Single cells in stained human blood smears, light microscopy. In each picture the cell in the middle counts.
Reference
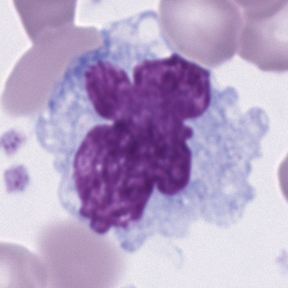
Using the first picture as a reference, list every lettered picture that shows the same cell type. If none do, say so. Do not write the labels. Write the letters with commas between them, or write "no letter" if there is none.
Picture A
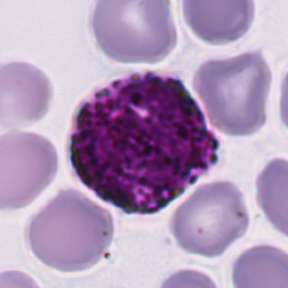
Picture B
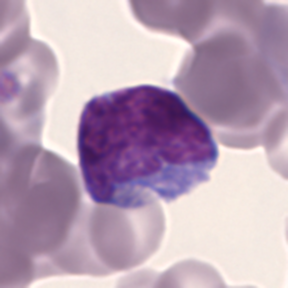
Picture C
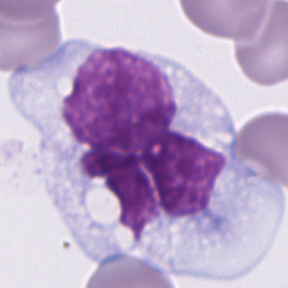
B, C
